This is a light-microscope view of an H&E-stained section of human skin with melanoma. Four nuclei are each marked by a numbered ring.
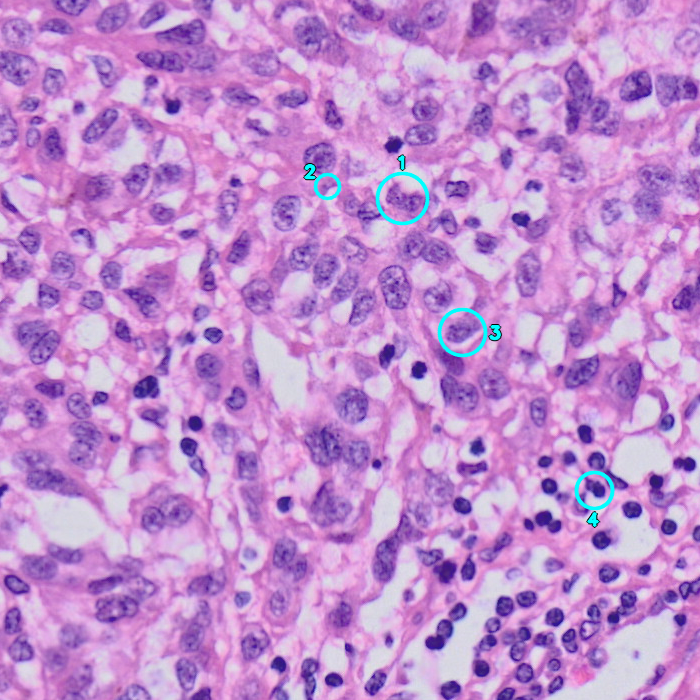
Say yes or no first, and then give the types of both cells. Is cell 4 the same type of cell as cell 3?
No, cell 4 is identified as a lymphocyte, and cell 3 is identified as a melanoma cell.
